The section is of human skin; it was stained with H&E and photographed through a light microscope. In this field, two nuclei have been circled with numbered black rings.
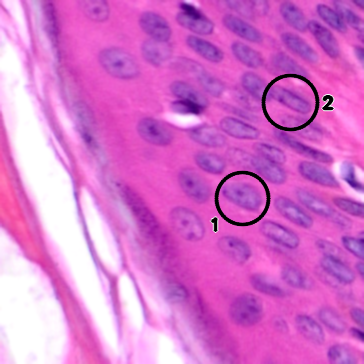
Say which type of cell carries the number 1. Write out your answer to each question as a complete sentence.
The one numbered 1 among the marked cells is a suprabasal keratinocyte.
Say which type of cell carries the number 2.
What the number 2 marks in this field is a basal keratinocyte.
